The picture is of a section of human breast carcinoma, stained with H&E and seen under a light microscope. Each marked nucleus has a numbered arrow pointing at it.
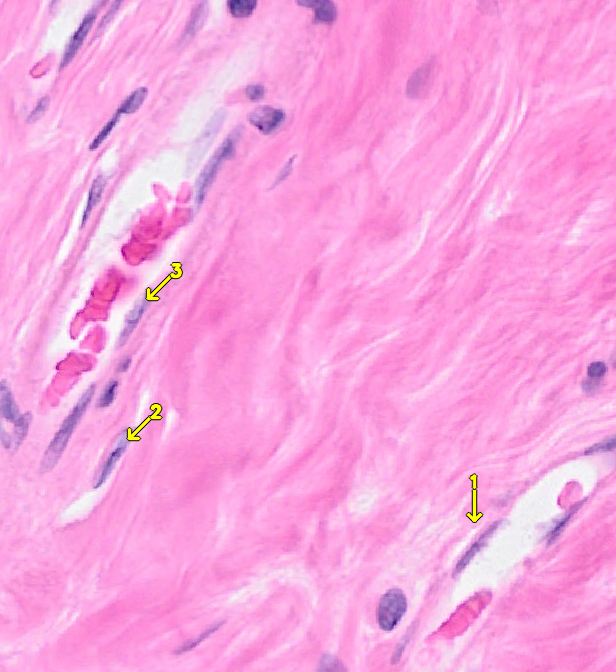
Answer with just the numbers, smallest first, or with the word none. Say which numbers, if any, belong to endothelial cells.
1, 3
